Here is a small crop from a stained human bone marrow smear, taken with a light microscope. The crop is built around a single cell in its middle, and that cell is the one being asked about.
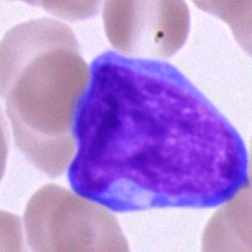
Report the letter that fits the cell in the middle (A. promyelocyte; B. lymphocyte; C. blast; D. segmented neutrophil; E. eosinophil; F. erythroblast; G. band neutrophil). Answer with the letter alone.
C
